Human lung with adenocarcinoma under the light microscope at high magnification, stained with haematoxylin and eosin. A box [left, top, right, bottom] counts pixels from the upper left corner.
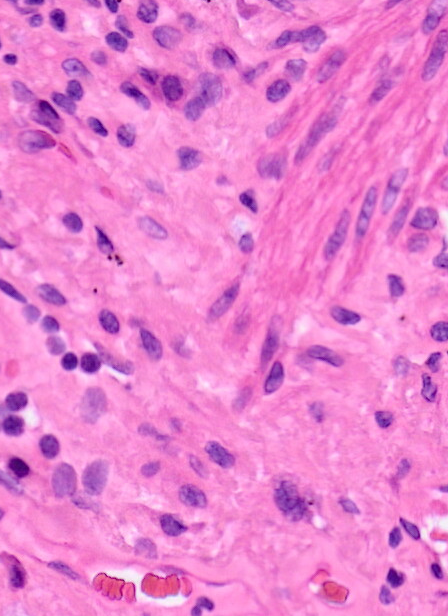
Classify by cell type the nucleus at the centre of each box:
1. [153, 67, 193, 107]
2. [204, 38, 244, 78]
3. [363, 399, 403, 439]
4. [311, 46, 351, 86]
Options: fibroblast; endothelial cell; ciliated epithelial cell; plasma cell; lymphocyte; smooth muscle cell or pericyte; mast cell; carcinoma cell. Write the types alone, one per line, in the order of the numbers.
plasma cell
plasma cell
mast cell
smooth muscle cell or pericyte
